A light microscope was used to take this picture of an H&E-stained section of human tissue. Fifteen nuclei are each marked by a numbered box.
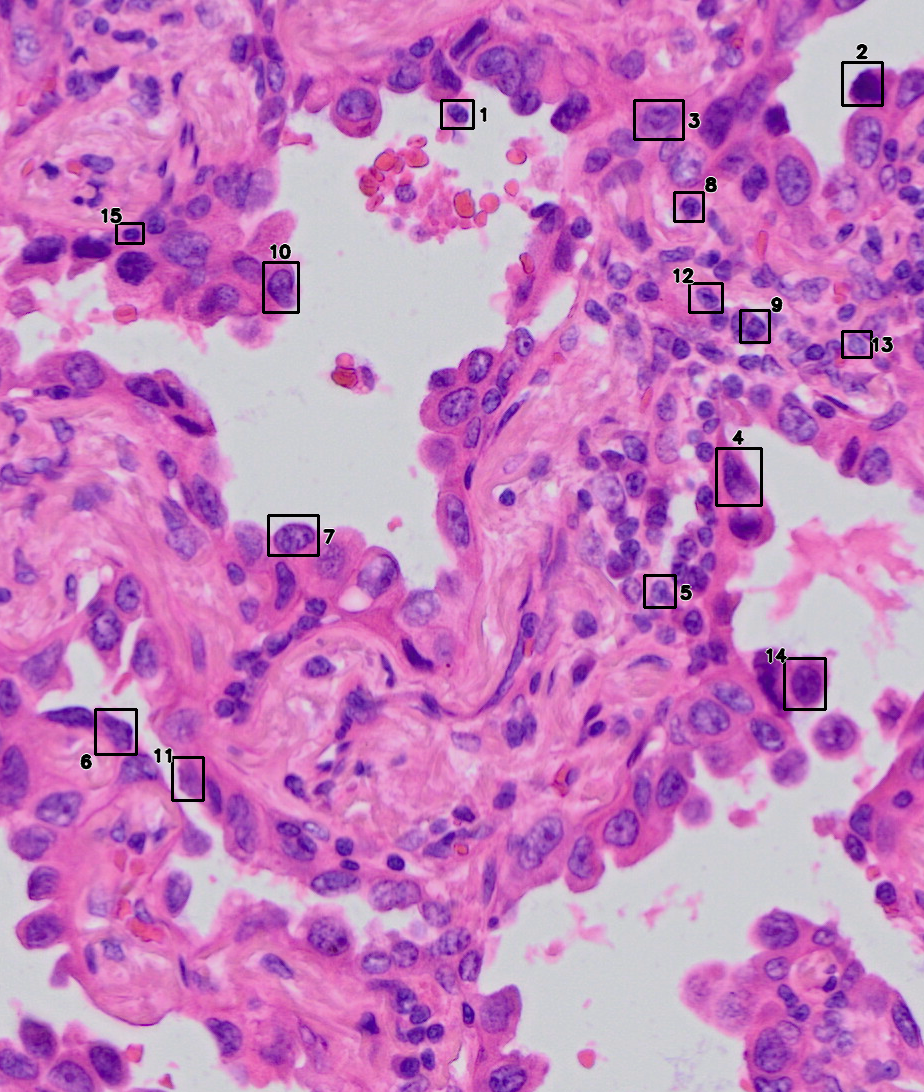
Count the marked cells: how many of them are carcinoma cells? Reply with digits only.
8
